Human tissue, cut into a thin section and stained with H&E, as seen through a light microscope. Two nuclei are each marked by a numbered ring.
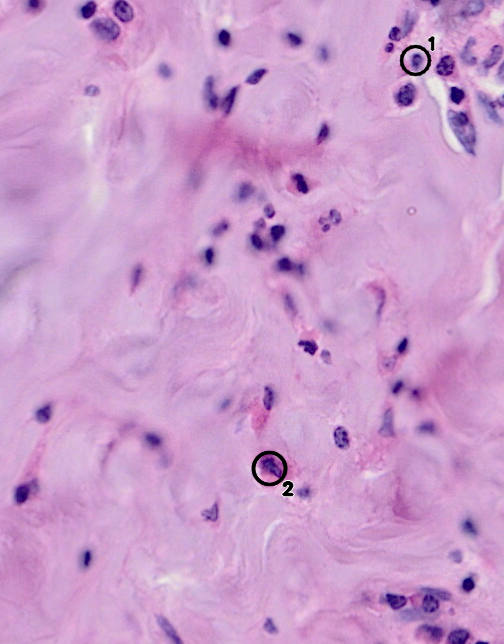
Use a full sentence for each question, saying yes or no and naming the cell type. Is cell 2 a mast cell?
Yes, the cell with its nucleus marked 2 is a mast cell.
